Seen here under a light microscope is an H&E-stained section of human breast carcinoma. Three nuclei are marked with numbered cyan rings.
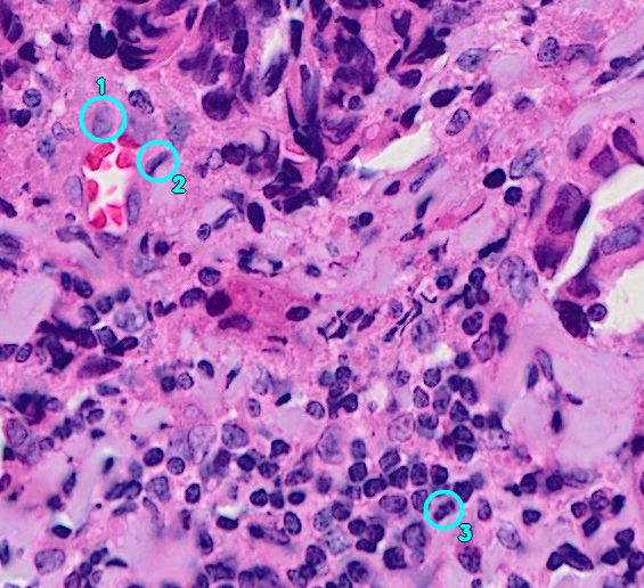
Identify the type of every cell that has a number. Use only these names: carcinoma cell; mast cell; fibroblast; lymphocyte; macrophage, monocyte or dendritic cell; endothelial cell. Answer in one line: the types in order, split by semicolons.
endothelial cell; endothelial cell; lymphocyte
